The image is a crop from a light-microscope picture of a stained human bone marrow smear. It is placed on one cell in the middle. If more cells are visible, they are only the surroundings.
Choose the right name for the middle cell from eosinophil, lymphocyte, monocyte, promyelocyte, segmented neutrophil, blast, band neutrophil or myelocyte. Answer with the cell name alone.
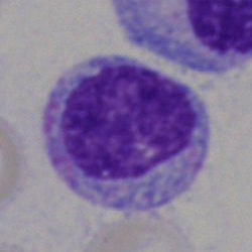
myelocyte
